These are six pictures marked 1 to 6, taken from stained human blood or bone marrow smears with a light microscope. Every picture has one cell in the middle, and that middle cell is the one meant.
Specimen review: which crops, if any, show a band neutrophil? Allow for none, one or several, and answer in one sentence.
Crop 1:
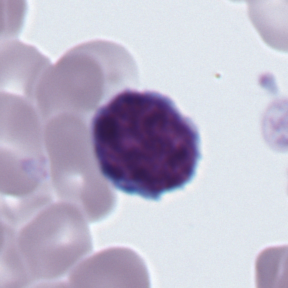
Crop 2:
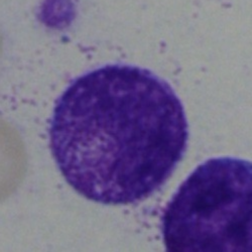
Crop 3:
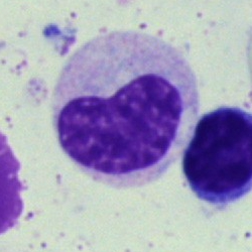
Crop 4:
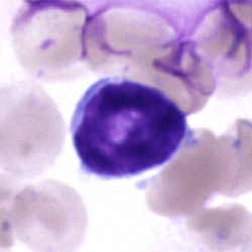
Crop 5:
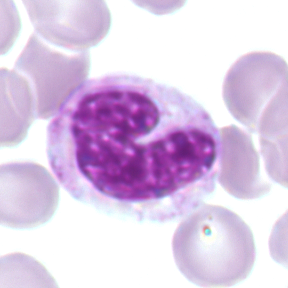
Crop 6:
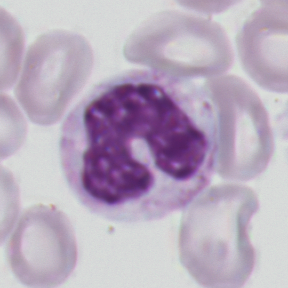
The cells centred in crops 5 and 6 are band neutrophils.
